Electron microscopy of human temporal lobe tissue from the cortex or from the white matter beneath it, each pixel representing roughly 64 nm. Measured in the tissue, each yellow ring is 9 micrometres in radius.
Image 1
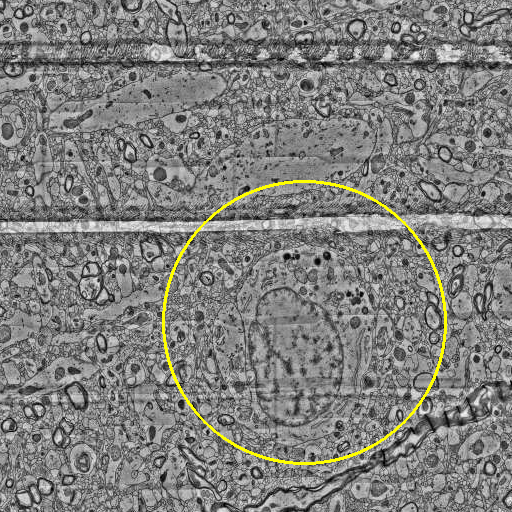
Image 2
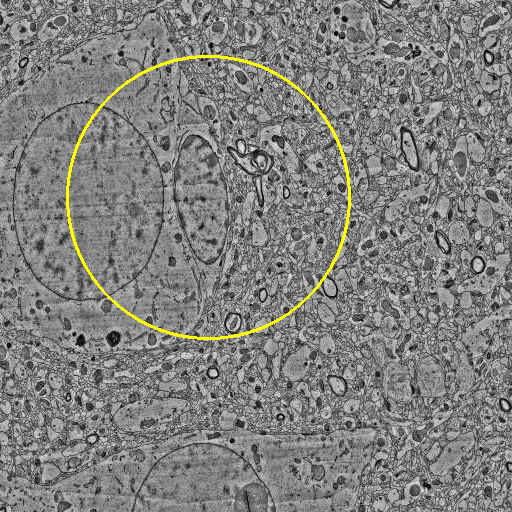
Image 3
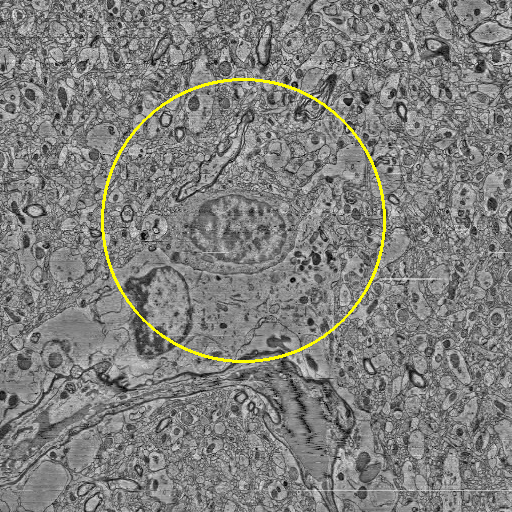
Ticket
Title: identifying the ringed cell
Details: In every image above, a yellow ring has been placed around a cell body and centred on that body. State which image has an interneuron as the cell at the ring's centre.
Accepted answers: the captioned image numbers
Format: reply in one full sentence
The ring in image 1 is centred on the cell in question.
